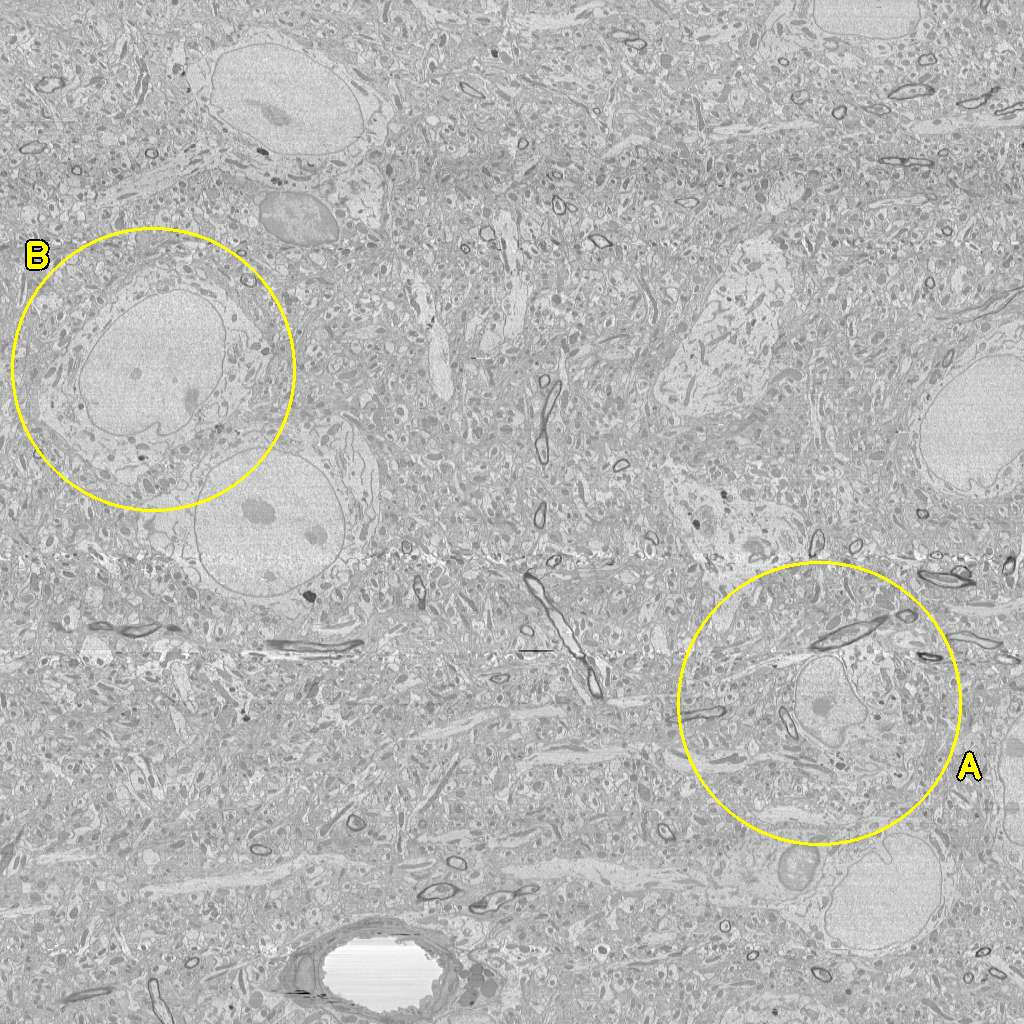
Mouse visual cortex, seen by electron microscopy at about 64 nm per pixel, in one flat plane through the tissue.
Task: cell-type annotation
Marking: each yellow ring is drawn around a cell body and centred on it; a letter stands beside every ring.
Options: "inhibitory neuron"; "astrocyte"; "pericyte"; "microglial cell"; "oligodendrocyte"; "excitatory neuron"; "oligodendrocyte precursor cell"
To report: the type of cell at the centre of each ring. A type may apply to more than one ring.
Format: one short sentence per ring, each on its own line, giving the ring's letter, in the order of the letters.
Ring A is centred on an oligodendrocyte precursor cell.
Ring B is centred on an excitatory neuron.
